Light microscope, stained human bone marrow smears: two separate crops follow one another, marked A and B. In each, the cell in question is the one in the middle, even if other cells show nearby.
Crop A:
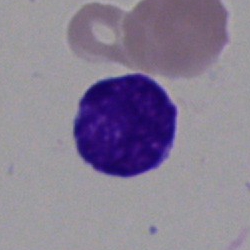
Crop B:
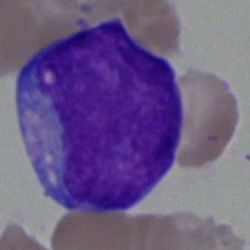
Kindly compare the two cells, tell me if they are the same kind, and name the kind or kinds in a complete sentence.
Yes, blasts lie at the centre of both crops.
